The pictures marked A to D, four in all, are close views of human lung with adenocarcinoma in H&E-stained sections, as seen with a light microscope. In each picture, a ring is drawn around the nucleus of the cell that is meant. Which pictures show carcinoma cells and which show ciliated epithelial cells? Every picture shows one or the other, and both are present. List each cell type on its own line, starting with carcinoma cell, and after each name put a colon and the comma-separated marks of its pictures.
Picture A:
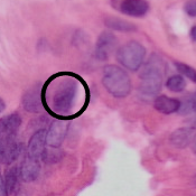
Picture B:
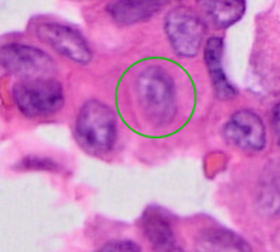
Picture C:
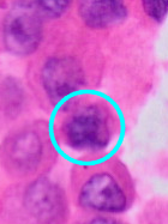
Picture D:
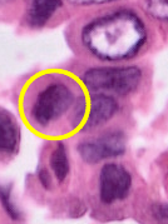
carcinoma cell: B, C, D
ciliated epithelial cell: A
